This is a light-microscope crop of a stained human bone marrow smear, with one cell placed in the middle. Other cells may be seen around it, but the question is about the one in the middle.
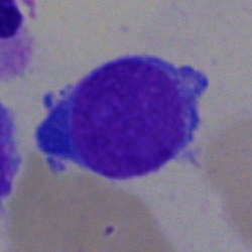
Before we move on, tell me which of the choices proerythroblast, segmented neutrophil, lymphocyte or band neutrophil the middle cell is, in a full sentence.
The cell occupying the middle of the crop is a lymphocyte.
